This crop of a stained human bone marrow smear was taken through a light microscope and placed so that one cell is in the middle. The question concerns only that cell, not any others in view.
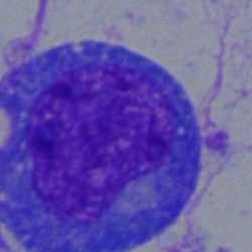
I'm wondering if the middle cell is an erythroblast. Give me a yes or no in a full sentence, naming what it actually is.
No, the central cell here is a blast; calling it an erythroblast is not right.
